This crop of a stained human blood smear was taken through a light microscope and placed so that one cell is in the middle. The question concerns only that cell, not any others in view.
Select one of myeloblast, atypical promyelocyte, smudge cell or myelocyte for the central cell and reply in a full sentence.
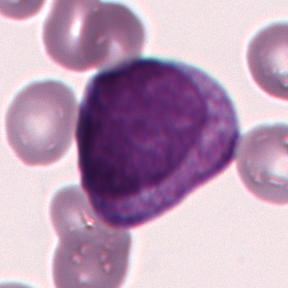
In this smear crop, the middle cell is an atypical promyelocyte.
